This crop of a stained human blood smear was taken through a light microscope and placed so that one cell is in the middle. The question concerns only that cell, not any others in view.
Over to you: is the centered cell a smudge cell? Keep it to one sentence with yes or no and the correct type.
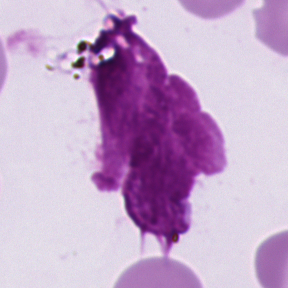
Yes, the cell in the middle has the identity of a smudge cell.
